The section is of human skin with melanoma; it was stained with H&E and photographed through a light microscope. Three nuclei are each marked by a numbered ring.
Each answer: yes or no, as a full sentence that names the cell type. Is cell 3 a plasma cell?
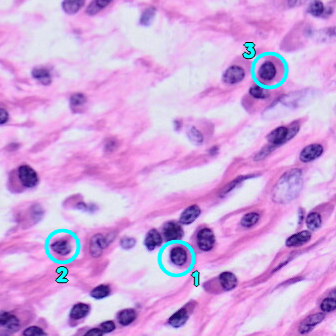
Yes, with respect to number 3, the cell is a plasma cell.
